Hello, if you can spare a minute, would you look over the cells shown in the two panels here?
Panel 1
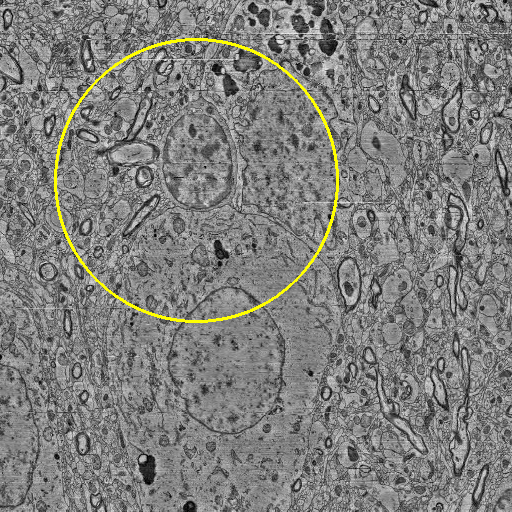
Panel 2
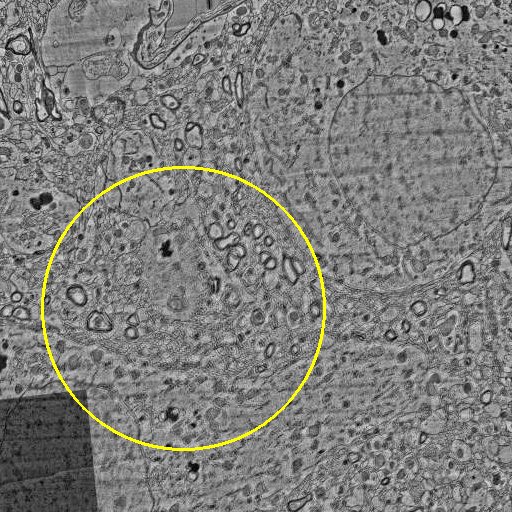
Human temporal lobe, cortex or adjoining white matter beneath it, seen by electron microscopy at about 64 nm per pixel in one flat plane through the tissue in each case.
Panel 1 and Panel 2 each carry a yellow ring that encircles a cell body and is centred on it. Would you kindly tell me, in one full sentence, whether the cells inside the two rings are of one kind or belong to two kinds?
The cells at the centres of the rings in Panel 1 and Panel 2 are of one kind.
